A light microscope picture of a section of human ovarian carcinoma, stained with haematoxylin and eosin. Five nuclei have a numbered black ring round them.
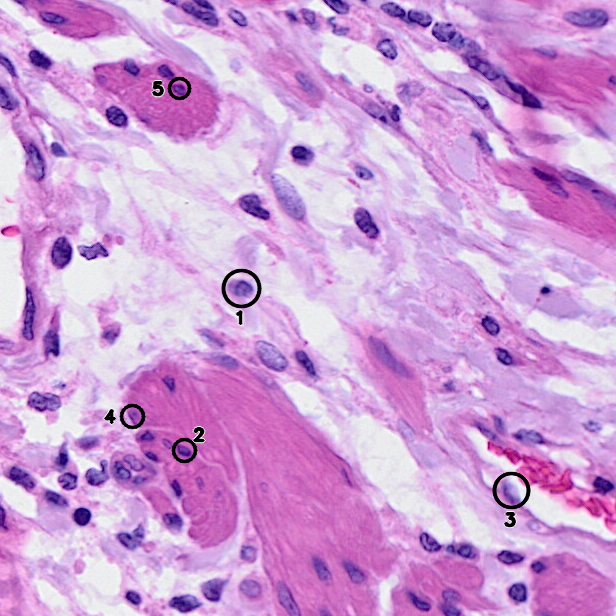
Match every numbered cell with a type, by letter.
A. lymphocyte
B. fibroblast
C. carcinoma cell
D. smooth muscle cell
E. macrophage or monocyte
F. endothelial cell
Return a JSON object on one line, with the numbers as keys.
{"1": "A", "2": "D", "3": "F", "4": "D", "5": "D"}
